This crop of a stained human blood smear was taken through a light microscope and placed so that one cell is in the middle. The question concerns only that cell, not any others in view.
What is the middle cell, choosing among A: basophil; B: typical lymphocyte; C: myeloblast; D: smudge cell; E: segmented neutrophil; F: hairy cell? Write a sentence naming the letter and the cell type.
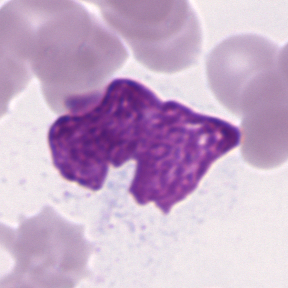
Option D is correct, naming the cell in the middle as a smudge cell.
